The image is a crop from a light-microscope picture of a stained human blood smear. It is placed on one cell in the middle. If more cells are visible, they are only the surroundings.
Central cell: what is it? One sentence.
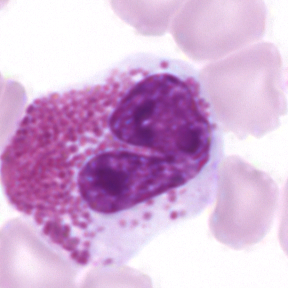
The cell around which this crop is centred is an eosinophil.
